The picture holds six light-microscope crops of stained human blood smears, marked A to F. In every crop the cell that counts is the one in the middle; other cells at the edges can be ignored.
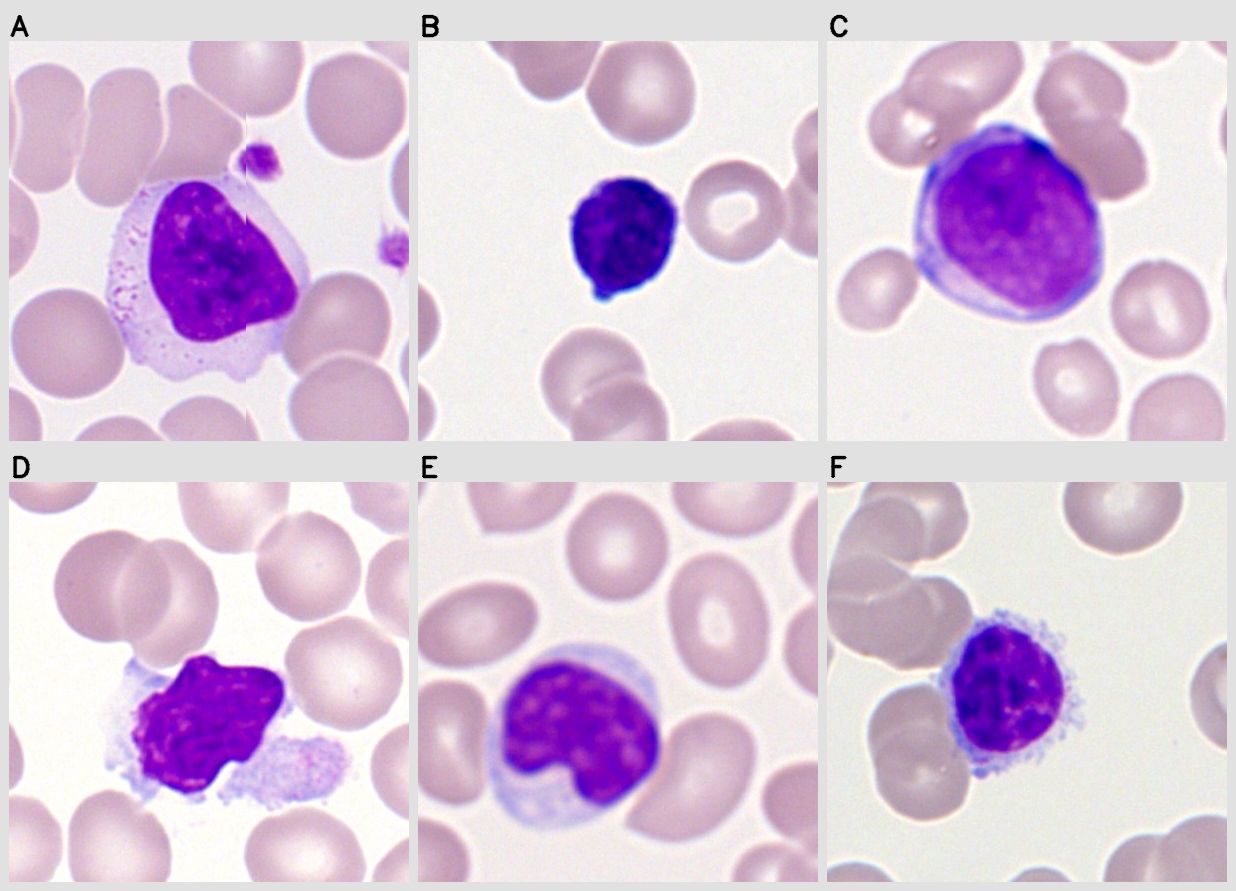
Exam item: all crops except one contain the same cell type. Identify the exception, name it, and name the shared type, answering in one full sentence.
In every crop except crop C, which shows a blast, lymphocytes are shown.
